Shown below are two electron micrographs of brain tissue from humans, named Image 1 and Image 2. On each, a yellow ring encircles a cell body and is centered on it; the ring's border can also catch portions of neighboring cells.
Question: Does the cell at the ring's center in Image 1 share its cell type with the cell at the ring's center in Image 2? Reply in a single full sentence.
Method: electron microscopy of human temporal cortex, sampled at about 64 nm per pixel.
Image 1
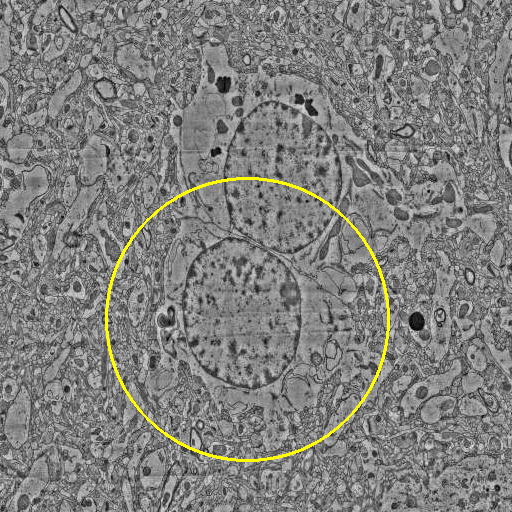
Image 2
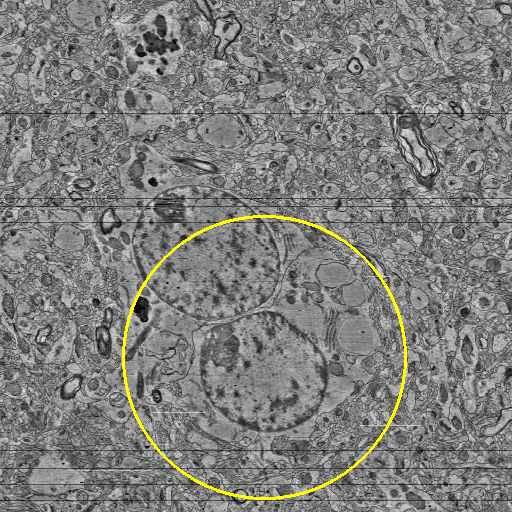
Yes, the two cells at the ring centers, in Image 1 and Image 2, share one cell type.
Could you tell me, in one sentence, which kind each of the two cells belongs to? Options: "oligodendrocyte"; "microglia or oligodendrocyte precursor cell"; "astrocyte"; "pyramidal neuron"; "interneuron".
In each picture the ringed cell is an astrocyte.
